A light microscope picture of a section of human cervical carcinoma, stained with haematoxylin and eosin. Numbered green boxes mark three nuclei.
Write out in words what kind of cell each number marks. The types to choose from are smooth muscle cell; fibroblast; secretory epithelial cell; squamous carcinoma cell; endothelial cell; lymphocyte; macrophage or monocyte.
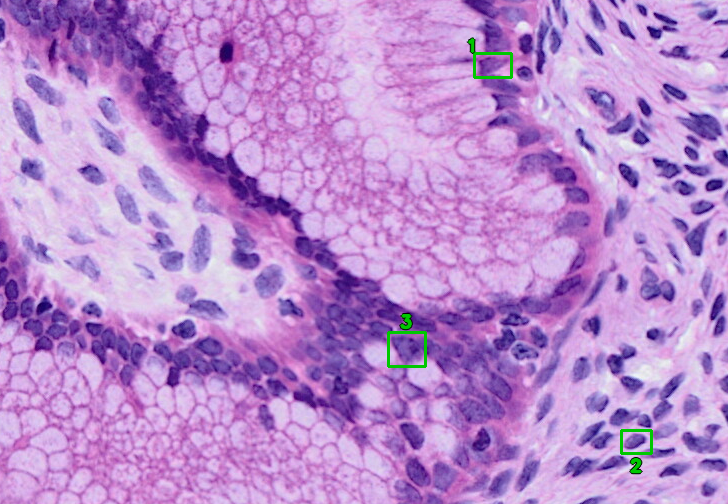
Cells 1 and 3 are secretory epithelial cells. Cell 2 is a fibroblast.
